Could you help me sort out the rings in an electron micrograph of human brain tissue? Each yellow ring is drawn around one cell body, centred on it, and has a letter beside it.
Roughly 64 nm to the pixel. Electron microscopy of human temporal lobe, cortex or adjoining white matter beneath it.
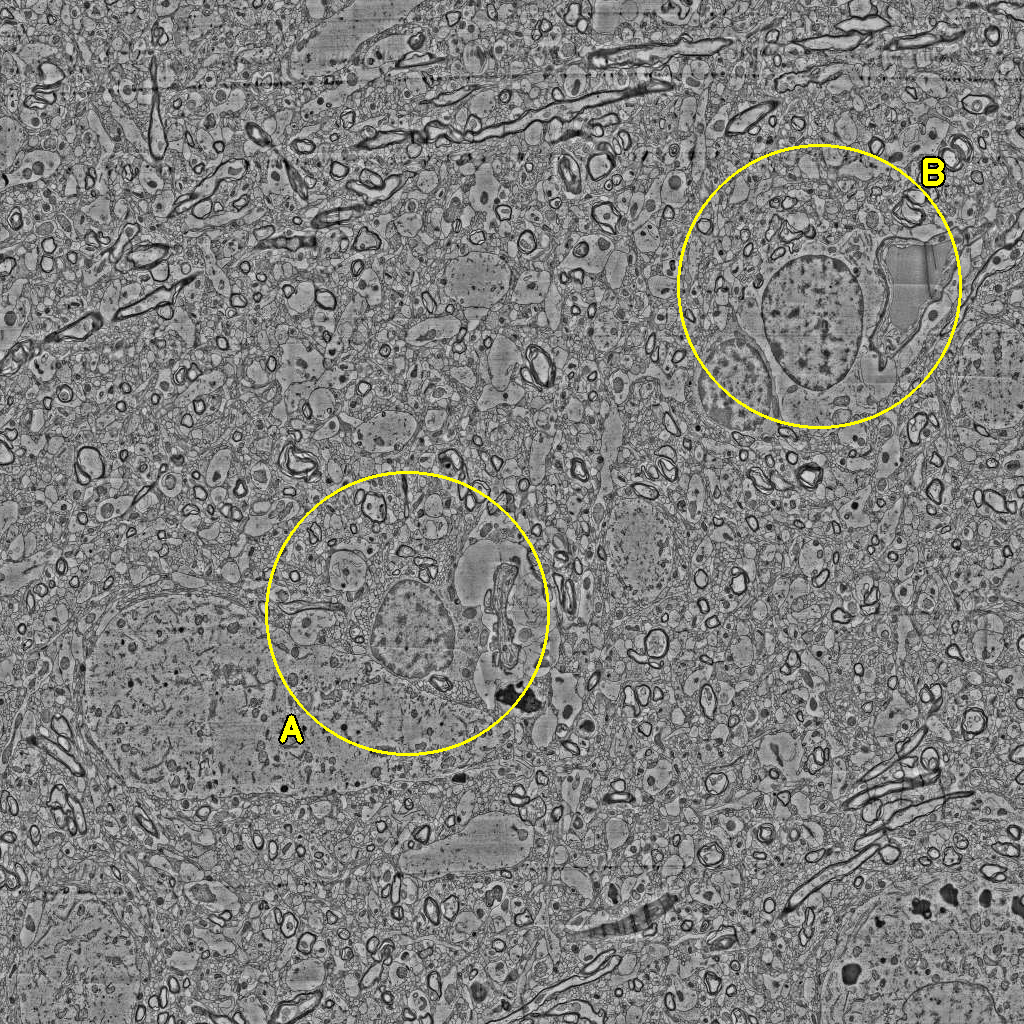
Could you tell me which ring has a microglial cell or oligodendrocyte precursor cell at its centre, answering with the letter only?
B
